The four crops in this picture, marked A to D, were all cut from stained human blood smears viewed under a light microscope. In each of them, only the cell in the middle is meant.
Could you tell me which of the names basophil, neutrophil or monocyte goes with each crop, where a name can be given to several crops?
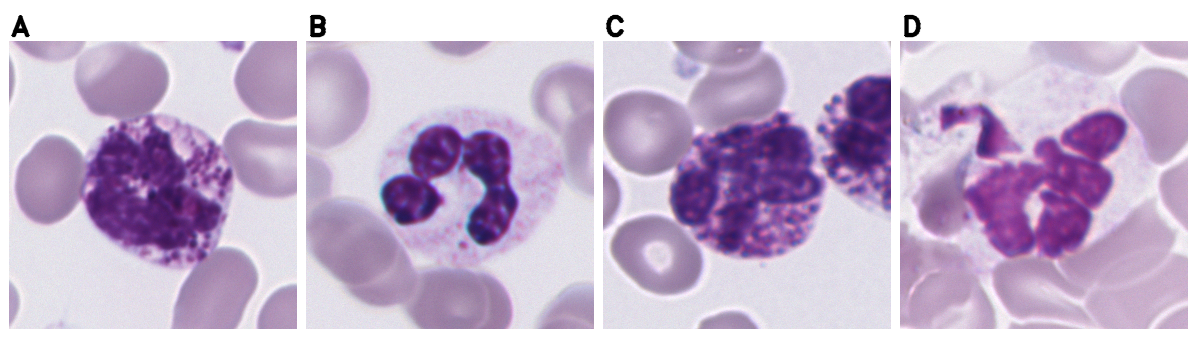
A: basophil
B: neutrophil
C: basophil
D: neutrophil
